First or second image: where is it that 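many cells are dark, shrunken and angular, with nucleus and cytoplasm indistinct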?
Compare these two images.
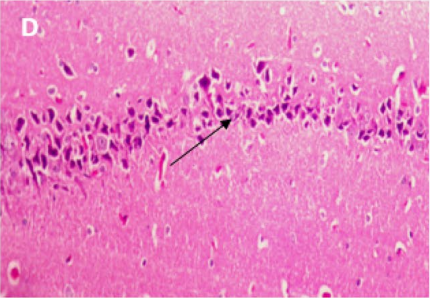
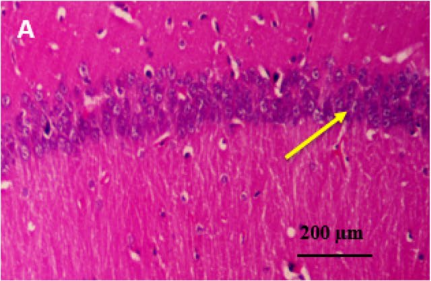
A: The first image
